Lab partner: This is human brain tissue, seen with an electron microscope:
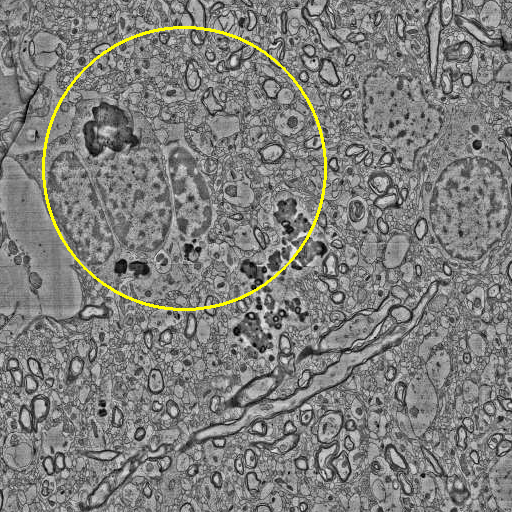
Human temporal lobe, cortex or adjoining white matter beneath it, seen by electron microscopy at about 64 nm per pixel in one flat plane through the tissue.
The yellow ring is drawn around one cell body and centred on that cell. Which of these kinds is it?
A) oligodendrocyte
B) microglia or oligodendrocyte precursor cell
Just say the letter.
B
